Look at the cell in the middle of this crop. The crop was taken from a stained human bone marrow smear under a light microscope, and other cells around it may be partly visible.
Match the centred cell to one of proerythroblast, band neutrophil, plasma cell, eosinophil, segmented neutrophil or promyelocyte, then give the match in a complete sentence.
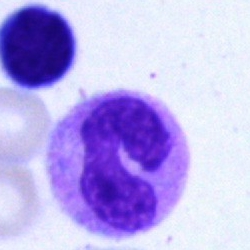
Among the cells in view, the one in the middle is a band neutrophil.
